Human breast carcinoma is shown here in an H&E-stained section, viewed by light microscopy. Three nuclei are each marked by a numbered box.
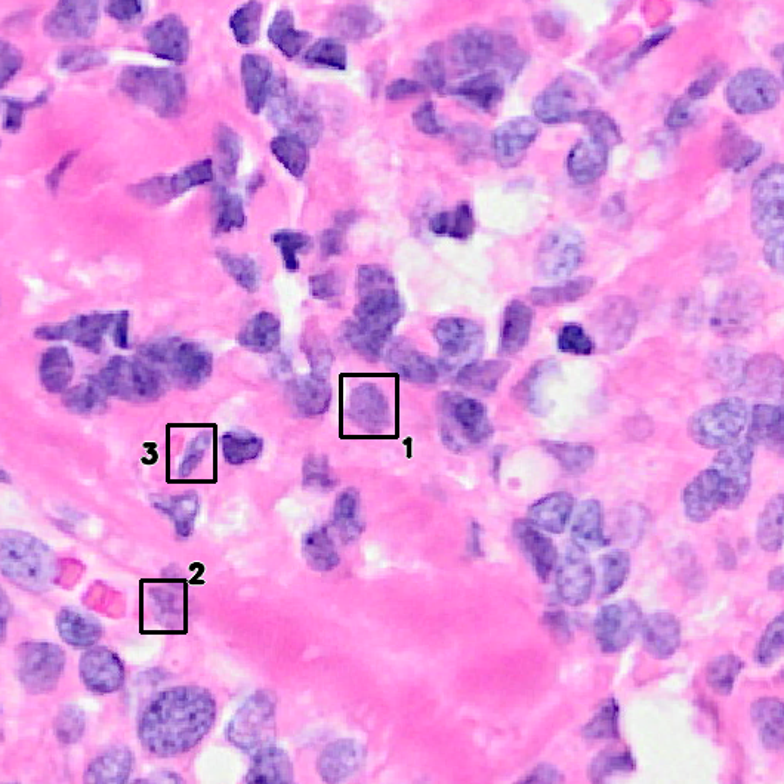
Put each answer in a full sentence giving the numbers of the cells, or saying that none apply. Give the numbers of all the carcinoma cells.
Within the set of numbered cells, only number 1 is a carcinoma cell.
